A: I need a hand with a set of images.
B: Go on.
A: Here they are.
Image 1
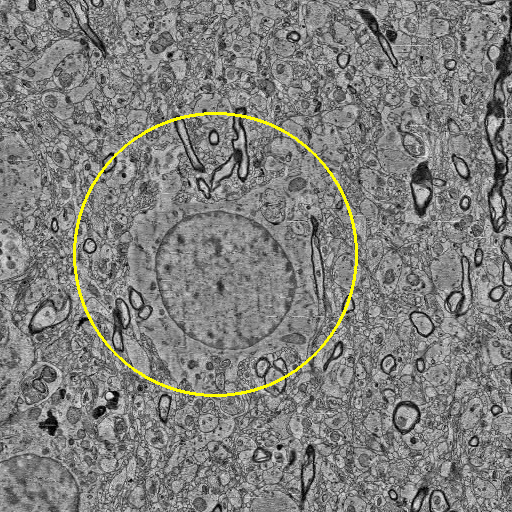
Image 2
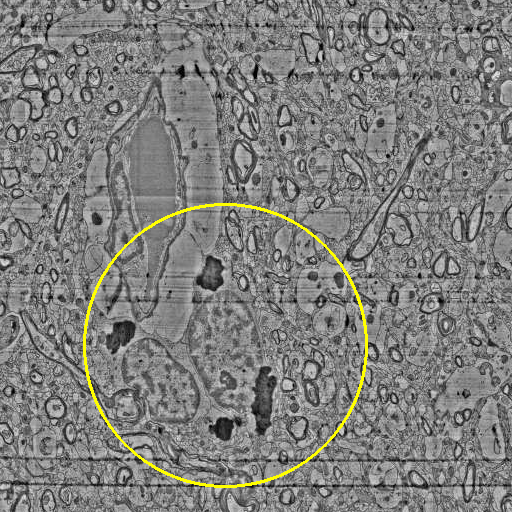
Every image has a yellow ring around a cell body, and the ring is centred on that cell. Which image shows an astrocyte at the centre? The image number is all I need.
1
